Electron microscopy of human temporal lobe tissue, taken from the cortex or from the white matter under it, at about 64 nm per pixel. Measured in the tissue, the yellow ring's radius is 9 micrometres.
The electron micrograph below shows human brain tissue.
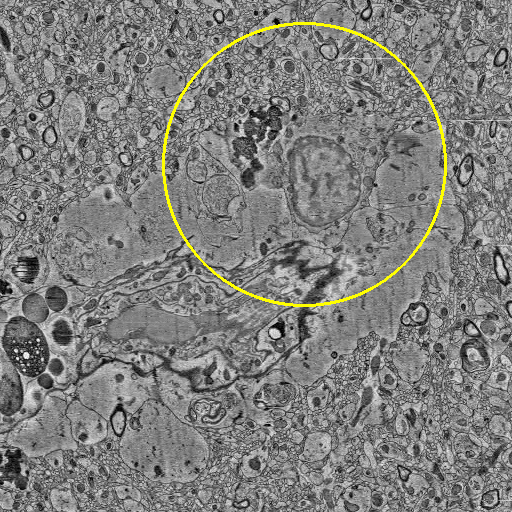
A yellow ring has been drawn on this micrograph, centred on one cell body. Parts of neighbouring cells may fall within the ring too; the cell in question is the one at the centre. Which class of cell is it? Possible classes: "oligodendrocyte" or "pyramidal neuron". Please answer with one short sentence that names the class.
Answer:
In the centre of the ring sits an oligodendrocyte.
